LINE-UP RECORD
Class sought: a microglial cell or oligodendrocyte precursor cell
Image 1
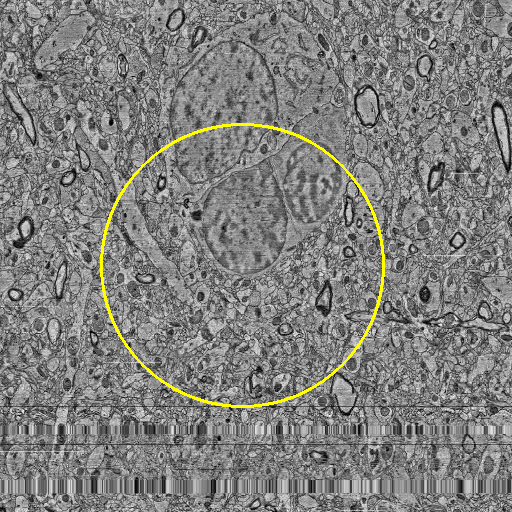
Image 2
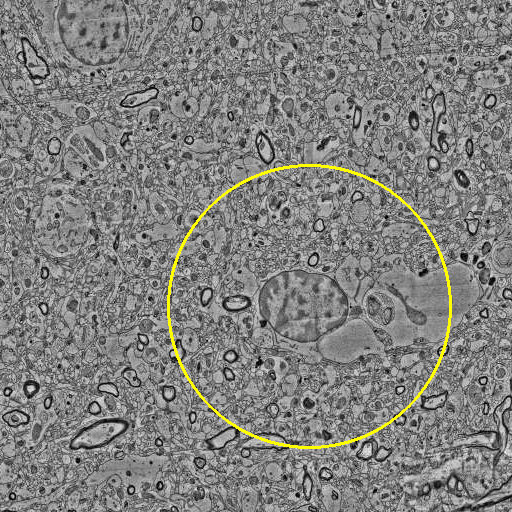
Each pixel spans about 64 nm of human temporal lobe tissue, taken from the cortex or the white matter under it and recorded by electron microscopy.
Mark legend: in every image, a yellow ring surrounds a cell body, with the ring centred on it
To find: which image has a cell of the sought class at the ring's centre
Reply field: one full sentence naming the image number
The ring-centred cell of image 2 belongs to the class sought.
